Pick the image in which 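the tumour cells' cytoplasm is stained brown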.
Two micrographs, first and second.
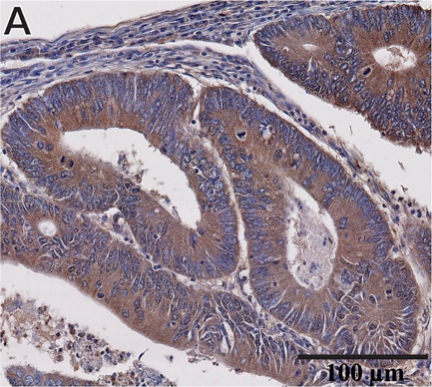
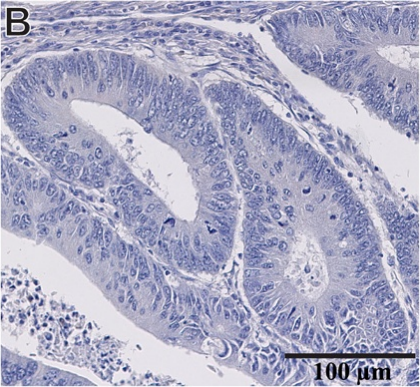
The first image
